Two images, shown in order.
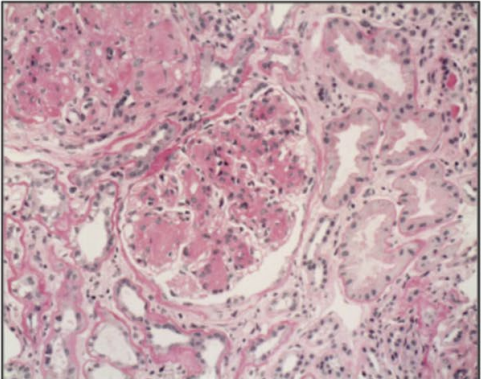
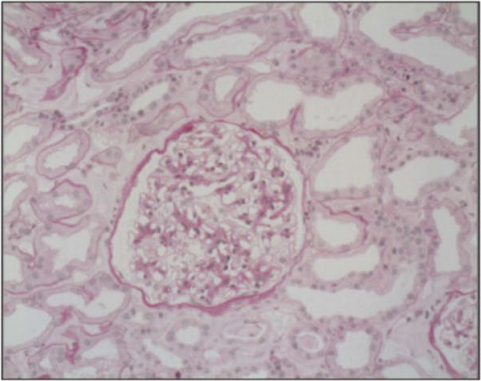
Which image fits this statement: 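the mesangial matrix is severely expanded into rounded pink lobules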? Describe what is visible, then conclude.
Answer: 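The first image. First image: the tuft is filled by broad pink matrix lobules with compressed capillaries. Second image: the tuft shows thin pink stalks and many open capillary loops.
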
